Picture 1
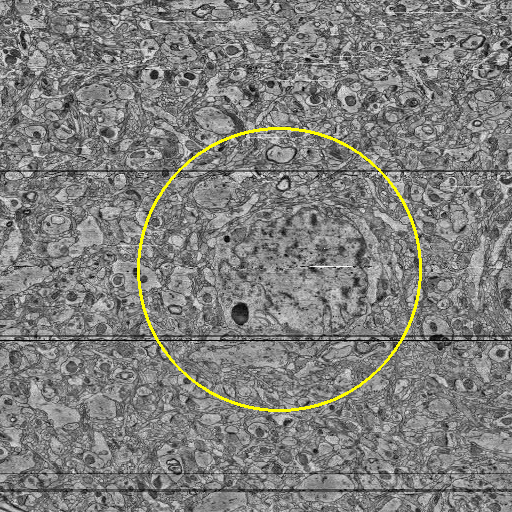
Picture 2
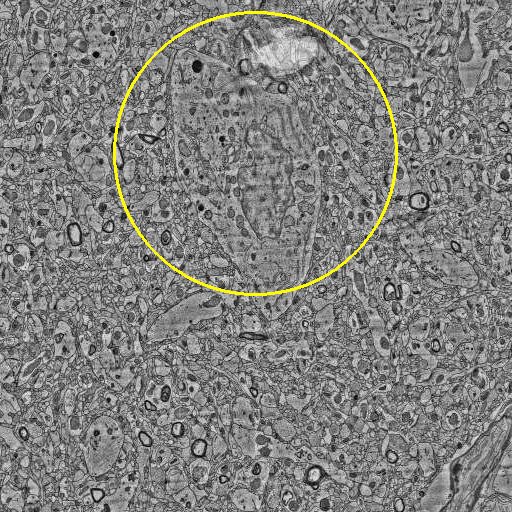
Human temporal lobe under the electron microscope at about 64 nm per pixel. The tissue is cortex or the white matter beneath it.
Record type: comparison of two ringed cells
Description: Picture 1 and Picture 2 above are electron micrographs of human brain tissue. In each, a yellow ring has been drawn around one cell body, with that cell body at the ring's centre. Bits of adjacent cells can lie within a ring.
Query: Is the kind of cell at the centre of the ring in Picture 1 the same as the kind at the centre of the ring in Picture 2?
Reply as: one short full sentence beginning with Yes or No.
Yes, the two ringed cells are of the same kind.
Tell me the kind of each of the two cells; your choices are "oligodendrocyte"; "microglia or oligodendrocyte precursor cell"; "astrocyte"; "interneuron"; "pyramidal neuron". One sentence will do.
Each cell at the centre of a ring is an interneuron.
